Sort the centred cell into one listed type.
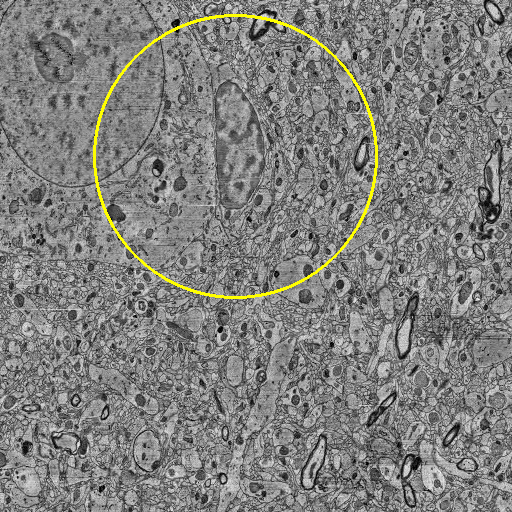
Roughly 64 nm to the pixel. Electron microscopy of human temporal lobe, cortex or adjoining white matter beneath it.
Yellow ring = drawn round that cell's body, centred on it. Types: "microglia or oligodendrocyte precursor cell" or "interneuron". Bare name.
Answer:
microglia or oligodendrocyte precursor cell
